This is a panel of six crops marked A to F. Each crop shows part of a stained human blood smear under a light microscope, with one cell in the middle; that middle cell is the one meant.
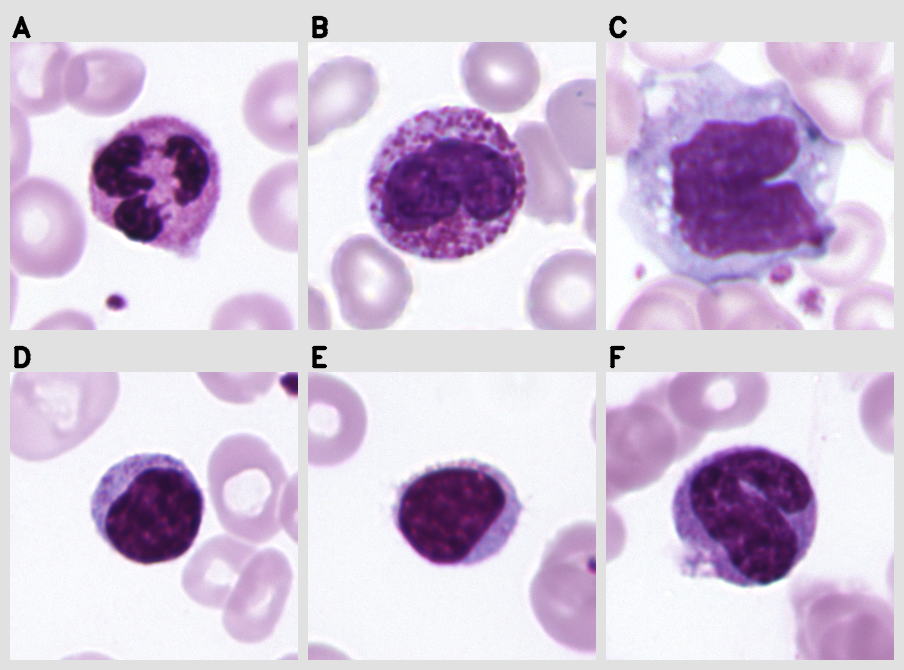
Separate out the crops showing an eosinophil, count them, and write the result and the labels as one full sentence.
Only one crop qualifies as showing an eosinophil, and that is crop B.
